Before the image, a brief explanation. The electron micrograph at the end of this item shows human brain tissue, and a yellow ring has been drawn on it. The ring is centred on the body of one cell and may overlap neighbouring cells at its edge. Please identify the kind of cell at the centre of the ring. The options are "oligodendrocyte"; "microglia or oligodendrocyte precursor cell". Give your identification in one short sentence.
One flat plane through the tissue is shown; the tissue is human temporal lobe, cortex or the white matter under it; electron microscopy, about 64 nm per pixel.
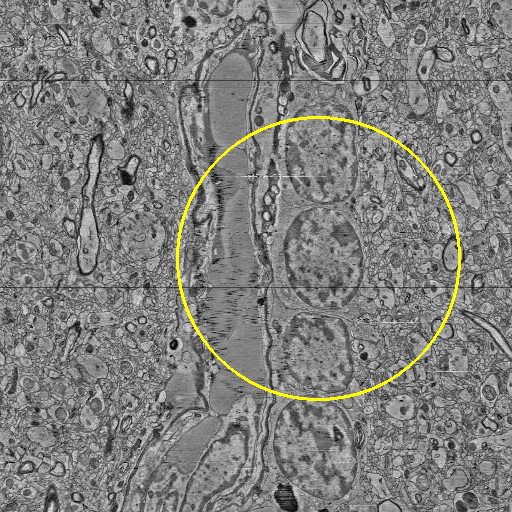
The ring has been placed around an oligodendrocyte.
